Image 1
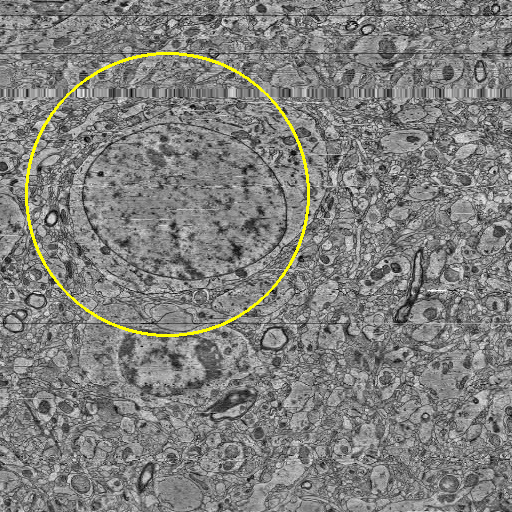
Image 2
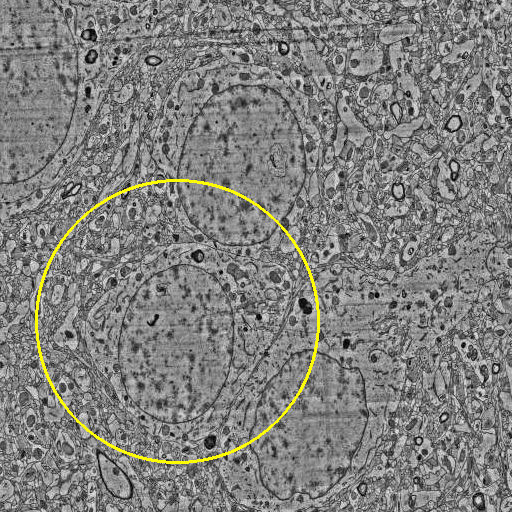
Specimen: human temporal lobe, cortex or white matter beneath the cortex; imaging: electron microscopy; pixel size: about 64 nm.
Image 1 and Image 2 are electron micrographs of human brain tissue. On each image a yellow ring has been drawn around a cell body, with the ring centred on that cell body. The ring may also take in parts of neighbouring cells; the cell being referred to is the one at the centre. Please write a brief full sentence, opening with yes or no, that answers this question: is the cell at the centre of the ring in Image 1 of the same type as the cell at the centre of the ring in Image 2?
Yes, both cells are of the same type.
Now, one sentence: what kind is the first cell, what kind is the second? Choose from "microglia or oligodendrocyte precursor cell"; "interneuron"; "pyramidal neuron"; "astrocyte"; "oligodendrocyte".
Each cell, in the first picture and the second, is a pyramidal neuron.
